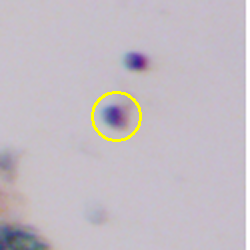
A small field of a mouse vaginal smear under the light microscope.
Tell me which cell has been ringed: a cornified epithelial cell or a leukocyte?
It is a leukocyte.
